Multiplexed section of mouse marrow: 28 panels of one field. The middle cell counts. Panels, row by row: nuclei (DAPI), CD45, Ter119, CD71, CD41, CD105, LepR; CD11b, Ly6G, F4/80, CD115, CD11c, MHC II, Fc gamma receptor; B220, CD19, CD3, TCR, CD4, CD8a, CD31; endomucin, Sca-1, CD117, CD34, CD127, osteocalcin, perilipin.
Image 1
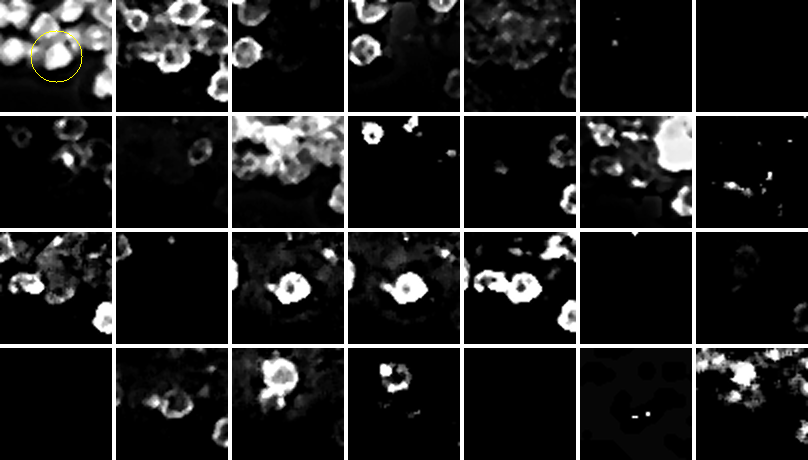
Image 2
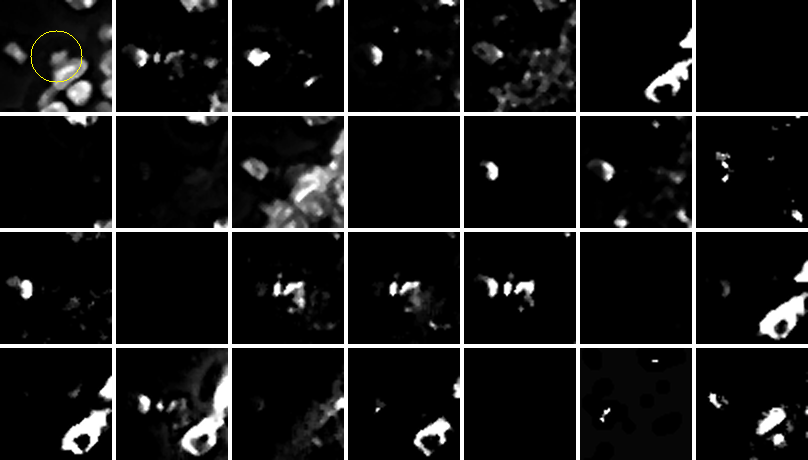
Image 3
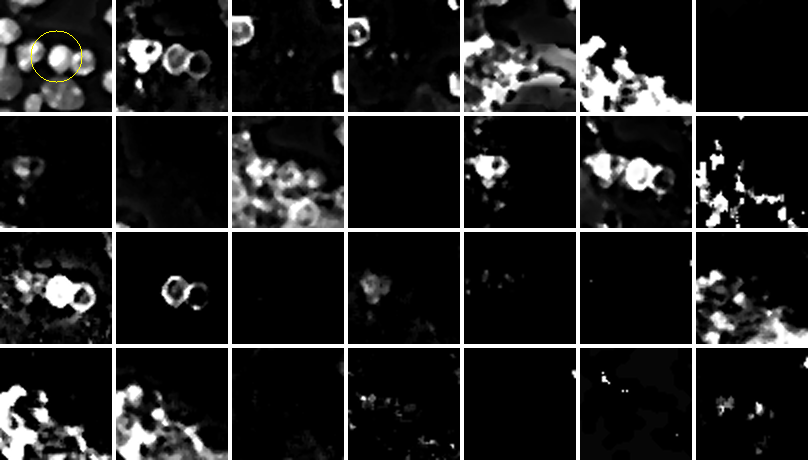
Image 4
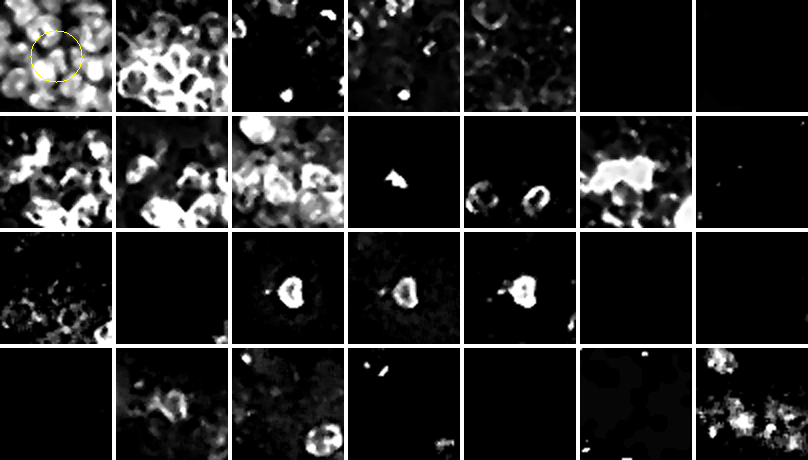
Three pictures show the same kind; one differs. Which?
Picture 3: a B cell, while the others are CD4 T cells.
